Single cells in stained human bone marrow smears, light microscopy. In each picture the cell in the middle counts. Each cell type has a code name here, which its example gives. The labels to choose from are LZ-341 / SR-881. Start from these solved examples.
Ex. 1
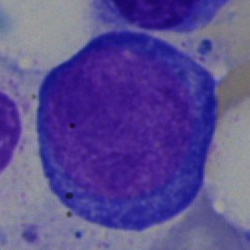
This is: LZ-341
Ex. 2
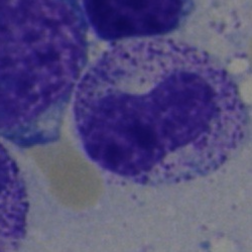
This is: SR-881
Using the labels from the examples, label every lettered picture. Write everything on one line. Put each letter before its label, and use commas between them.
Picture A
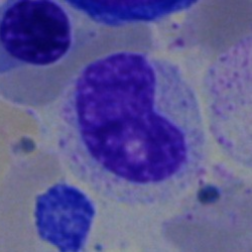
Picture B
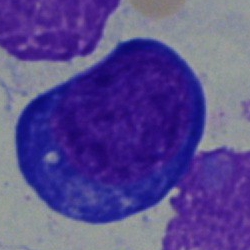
A SR-881, B LZ-341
